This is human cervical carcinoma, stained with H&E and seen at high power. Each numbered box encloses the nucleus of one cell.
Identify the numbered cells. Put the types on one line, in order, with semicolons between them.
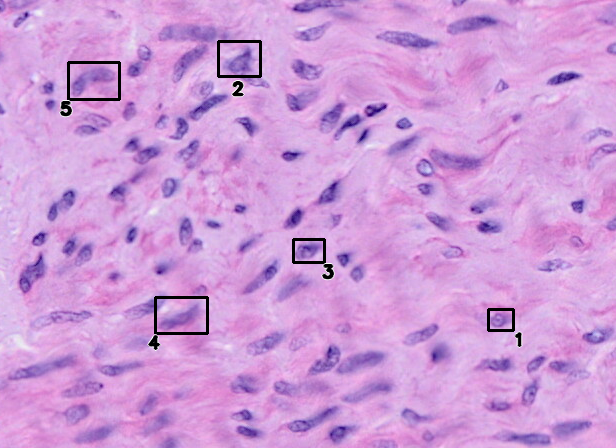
smooth muscle cell; fibroblast; fibroblast; smooth muscle cell; smooth muscle cell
